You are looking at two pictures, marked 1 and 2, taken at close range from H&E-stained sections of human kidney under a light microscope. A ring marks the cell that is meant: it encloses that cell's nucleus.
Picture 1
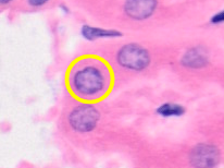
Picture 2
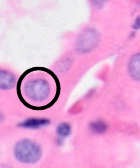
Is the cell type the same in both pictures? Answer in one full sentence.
No. Picture 1 shows a proximal tubule cell, but picture 2 shows a “loop of Henle or distal tubule cell”.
